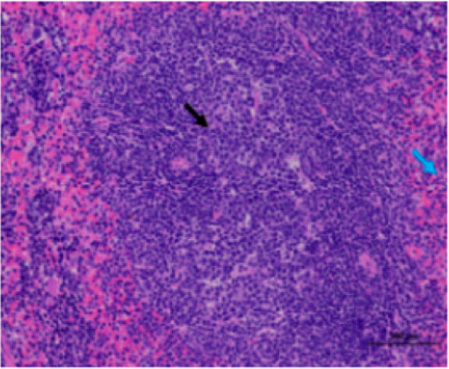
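Spleen in which a large lymphoid nodule of tightly packed small lymphocytes with dark purple round nuclei fills the centre of the field. Around it lies red pulp, pink with red blood cells, forming a band along the edges.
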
